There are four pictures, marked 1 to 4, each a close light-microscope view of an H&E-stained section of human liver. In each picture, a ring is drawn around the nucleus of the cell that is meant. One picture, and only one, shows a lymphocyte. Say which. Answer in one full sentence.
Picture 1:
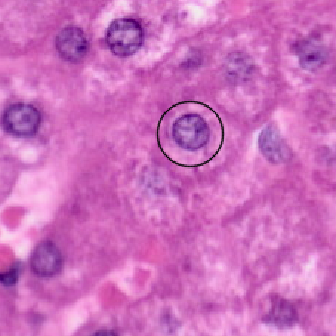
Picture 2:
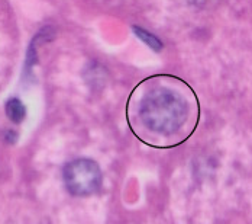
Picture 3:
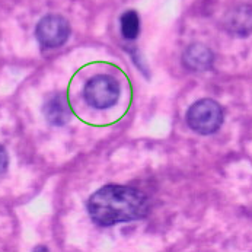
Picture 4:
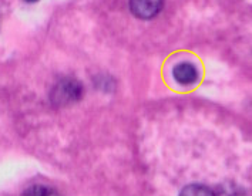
It is picture 4 that shows the lymphocyte.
